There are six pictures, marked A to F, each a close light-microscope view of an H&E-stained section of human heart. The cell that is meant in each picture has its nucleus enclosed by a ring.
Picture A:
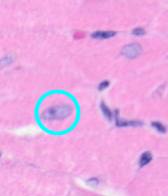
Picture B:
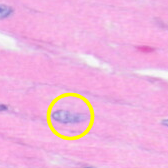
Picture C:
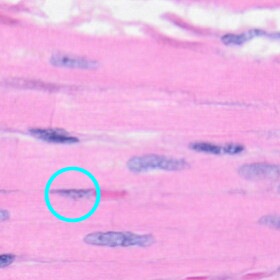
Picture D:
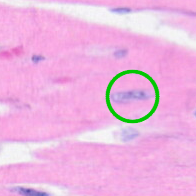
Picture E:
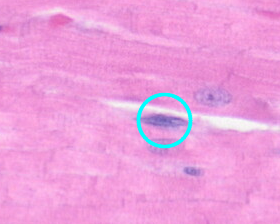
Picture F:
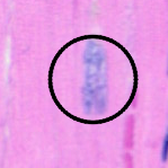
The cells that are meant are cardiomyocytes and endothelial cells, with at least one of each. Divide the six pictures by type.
A: cardiomyocyte
B: cardiomyocyte
C: endothelial cell
D: cardiomyocyte
E: endothelial cell
F: cardiomyocyte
